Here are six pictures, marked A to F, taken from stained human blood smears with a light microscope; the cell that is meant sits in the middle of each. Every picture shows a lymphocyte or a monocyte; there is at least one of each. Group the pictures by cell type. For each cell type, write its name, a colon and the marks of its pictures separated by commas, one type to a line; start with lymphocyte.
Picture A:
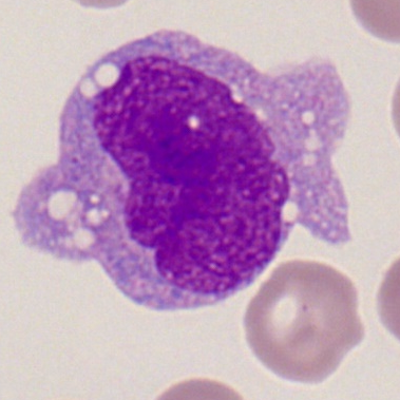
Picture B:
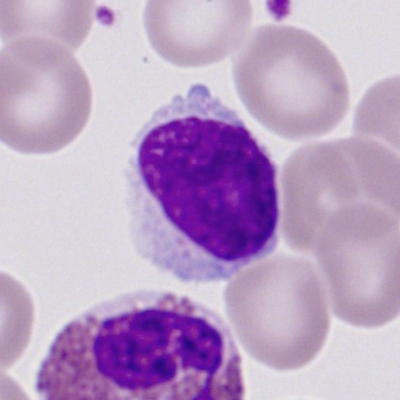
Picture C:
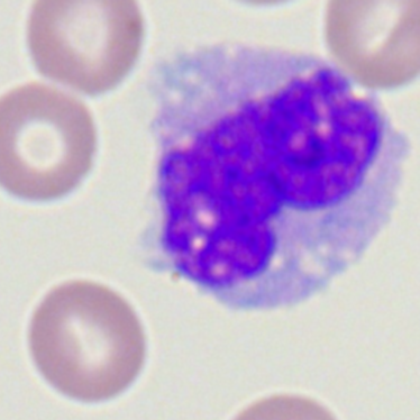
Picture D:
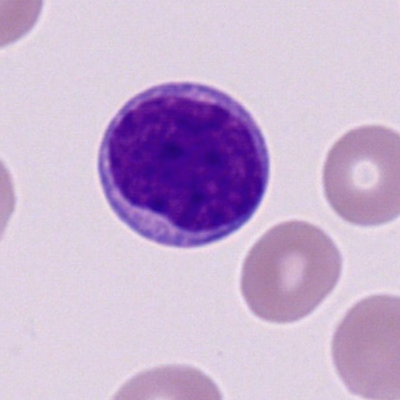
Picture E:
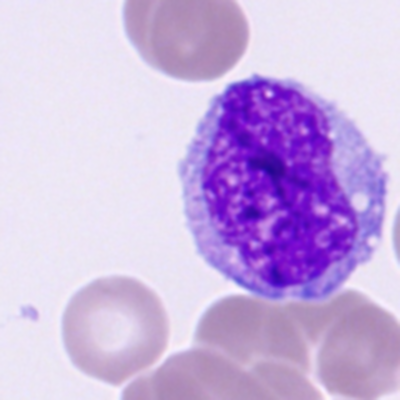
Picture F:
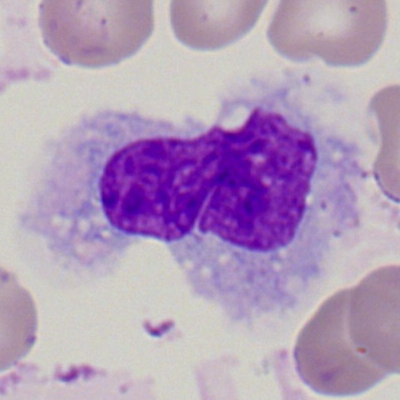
lymphocyte: B, D
monocyte: A, C, E, F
